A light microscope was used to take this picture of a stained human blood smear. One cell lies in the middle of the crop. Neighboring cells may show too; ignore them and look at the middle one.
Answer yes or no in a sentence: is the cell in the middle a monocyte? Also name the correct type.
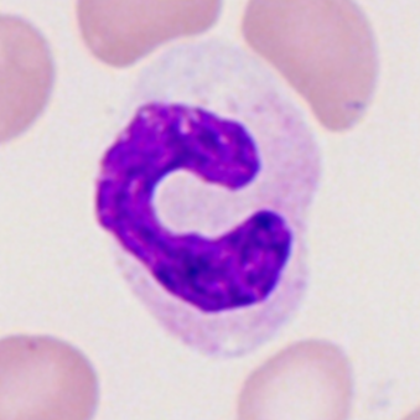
No, the cell in the centre is to be called a band neutrophil instead of a monocyte.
